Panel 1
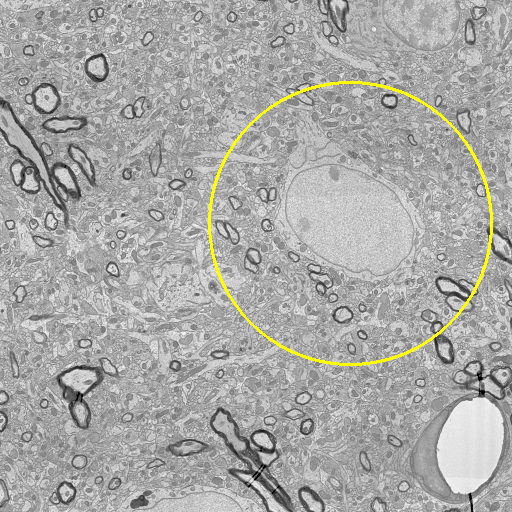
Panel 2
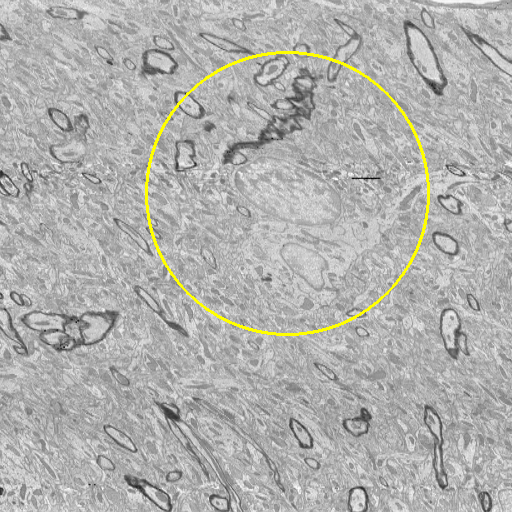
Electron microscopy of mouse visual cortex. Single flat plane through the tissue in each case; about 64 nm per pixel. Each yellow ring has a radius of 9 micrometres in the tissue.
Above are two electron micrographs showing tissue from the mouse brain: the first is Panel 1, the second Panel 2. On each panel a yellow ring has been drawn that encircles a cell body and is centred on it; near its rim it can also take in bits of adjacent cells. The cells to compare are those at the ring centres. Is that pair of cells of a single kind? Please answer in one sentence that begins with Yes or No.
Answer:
No, the ring-centred cells of Panel 1 and Panel 2 belong to two kinds.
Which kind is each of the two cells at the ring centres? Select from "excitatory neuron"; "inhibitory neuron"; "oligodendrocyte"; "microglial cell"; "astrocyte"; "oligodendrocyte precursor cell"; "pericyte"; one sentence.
The cell at the centre of the ring is an excitatory neuron in the first picture and an oligodendrocyte in the second.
